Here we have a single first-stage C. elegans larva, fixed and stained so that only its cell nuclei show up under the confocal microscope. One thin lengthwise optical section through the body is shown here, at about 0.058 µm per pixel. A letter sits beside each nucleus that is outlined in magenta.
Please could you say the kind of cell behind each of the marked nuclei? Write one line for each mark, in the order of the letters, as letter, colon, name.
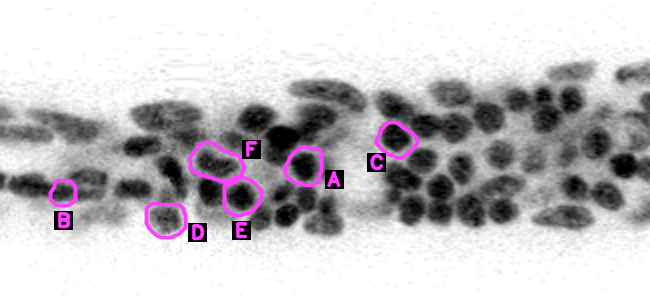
A: neuron
B: pharyngeal epithelial cell
C: neuron
D: body wall muscle cell
E: neuron
F: pharyngeal muscle cell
